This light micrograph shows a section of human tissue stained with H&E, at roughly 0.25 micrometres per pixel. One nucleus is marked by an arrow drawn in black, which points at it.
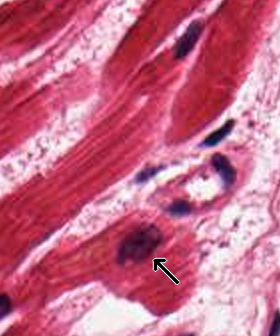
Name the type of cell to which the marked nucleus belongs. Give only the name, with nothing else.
cardiomyocyte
